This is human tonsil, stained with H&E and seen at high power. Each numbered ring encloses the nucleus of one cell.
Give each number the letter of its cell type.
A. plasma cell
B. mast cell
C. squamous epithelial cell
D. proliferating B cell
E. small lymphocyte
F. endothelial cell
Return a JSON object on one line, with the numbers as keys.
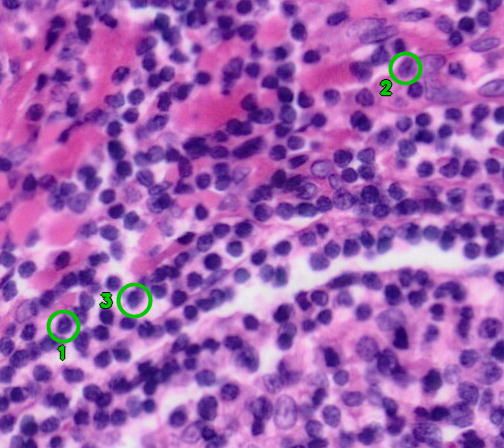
{"1": "E", "2": "F", "3": "E"}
